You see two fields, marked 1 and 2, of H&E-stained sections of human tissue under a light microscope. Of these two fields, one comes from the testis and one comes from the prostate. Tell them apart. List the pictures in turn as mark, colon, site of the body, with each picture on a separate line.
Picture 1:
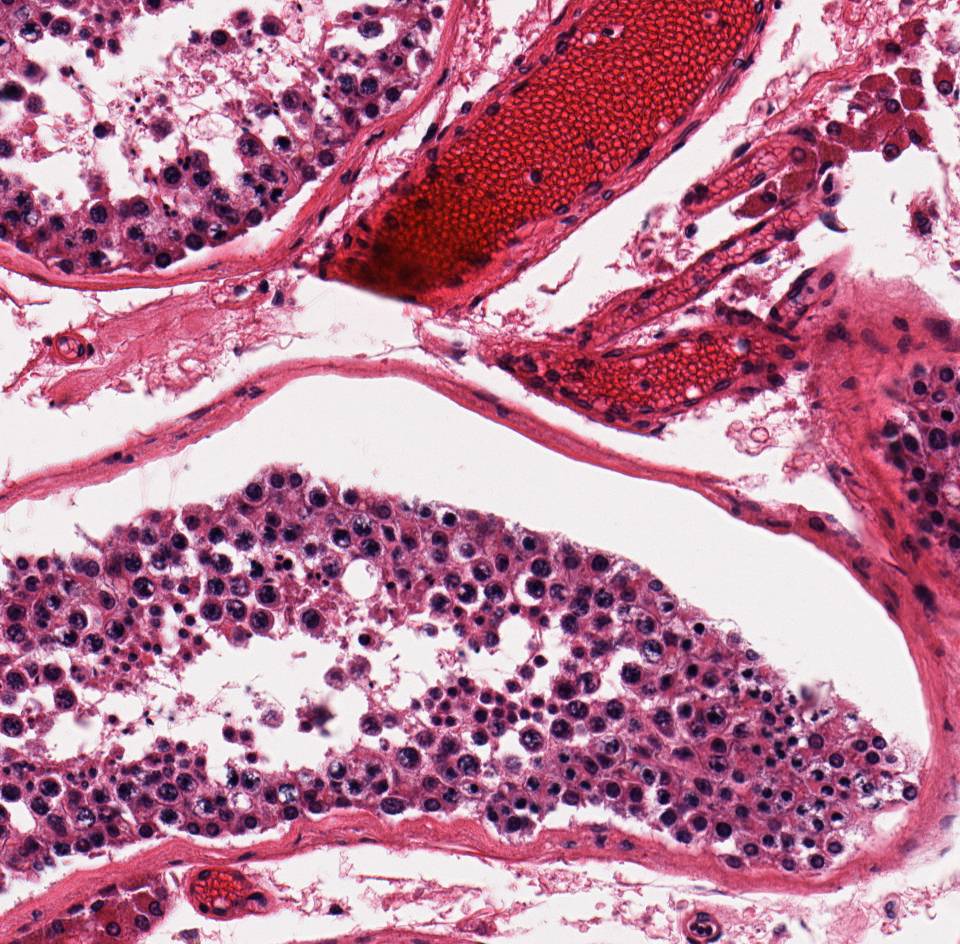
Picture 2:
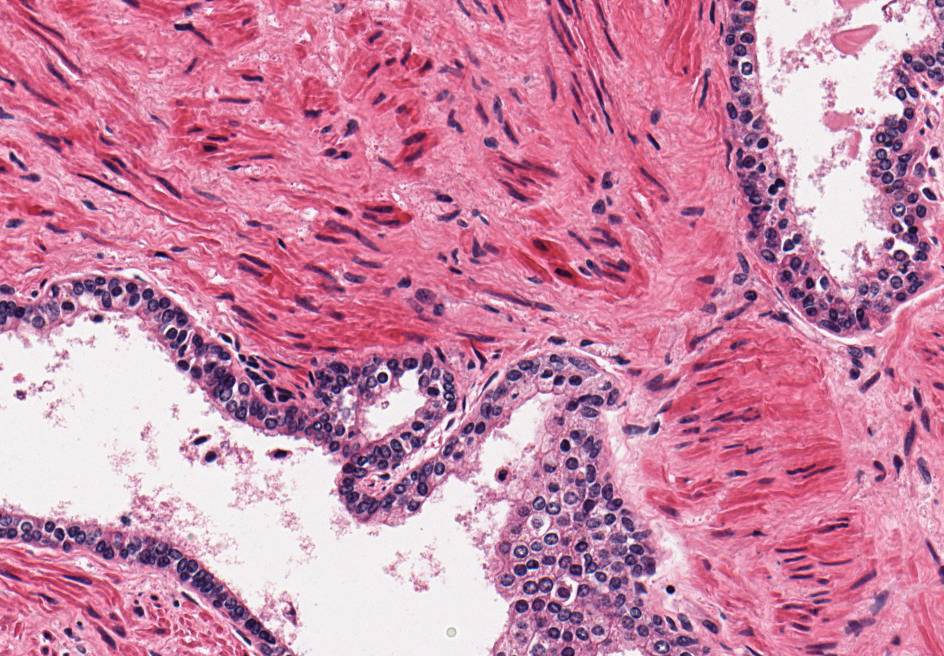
1: testis
2: prostate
